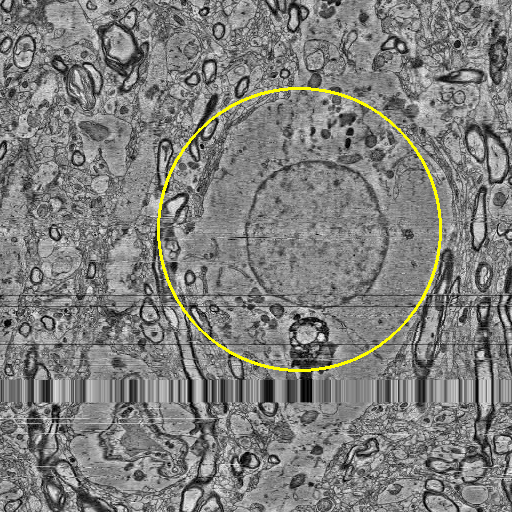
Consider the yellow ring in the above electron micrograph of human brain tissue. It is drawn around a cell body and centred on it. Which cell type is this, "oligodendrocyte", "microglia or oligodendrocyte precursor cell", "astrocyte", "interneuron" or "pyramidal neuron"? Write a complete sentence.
The cell in question is an astrocyte.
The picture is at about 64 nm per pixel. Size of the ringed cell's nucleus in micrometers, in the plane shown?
In this plane, the nucleus of the cell at the centre of the ring is about 9 micrometres across.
